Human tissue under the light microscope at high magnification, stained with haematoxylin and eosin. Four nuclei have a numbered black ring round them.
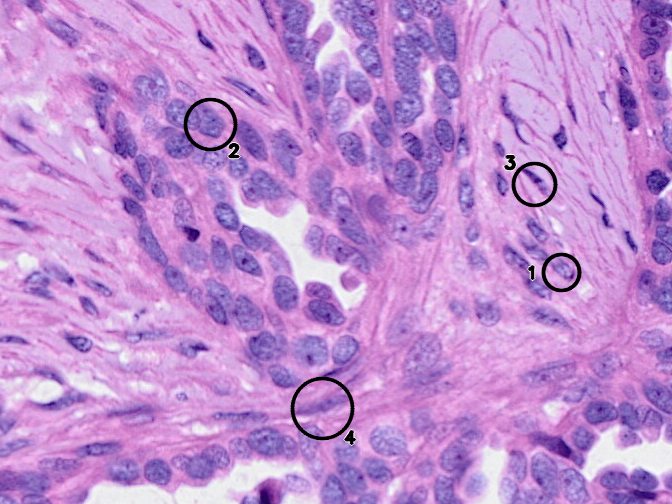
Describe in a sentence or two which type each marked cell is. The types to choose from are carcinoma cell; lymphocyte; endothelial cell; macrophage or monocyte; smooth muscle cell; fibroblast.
Cell 1 is a fibroblast, cell 2 is a carcinoma cell, cell 3 is a fibroblast and cell 4 is a fibroblast.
